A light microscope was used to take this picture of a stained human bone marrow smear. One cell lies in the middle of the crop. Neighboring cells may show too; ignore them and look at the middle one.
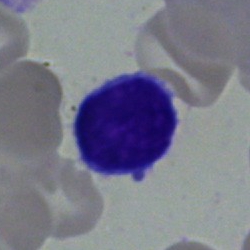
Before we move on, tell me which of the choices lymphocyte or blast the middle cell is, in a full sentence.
To answer, the cell in the center of the crop is a lymphocyte.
